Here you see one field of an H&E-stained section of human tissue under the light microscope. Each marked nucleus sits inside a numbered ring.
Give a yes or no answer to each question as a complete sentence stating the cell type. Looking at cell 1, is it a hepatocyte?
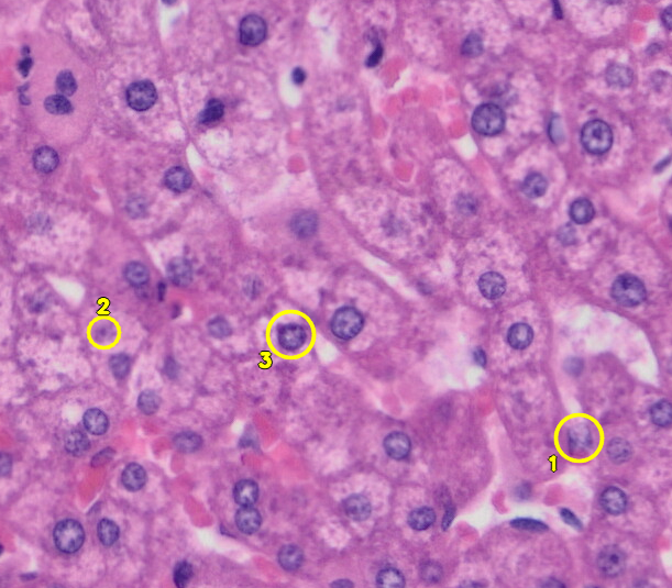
No, cell number 1 is an endothelial cell; it is not a hepatocyte.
